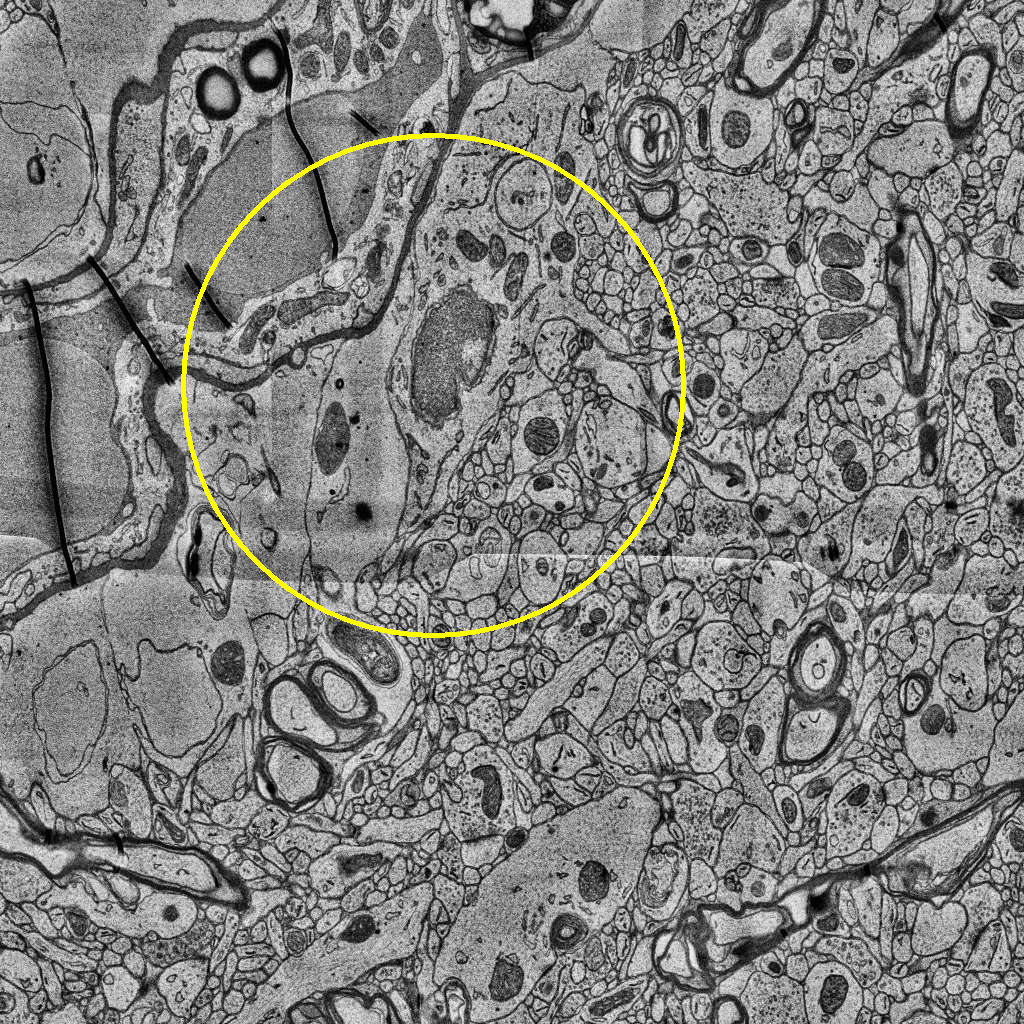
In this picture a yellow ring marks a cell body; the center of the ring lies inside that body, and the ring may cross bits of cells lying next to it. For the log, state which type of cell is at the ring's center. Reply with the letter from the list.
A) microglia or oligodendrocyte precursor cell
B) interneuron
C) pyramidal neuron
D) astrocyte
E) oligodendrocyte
A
